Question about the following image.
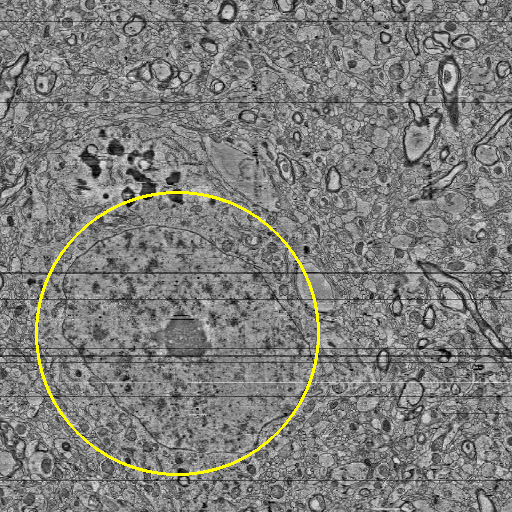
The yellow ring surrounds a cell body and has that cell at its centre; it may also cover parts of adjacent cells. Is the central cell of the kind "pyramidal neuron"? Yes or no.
Yes, it is of that kind.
